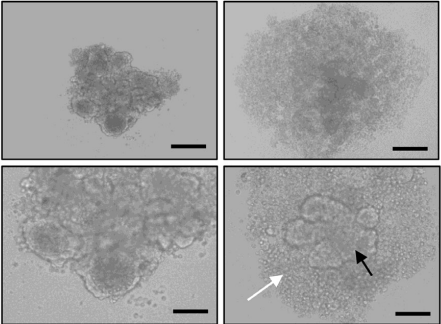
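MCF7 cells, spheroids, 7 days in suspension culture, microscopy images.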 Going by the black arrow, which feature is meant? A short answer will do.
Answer: original solid mass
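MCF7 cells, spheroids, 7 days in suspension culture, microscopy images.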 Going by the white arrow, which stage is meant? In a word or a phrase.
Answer: Single cells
